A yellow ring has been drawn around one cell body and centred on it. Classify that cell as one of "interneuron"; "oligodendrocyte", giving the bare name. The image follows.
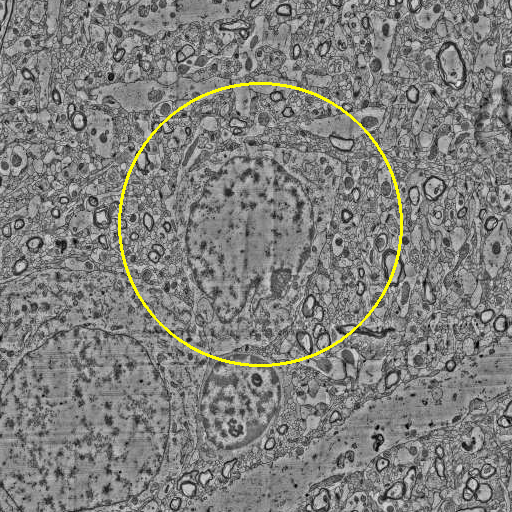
interneuron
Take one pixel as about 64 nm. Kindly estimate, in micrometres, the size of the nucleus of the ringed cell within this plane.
Roughly 11 micrometres by 8 micrometres, in this plane.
